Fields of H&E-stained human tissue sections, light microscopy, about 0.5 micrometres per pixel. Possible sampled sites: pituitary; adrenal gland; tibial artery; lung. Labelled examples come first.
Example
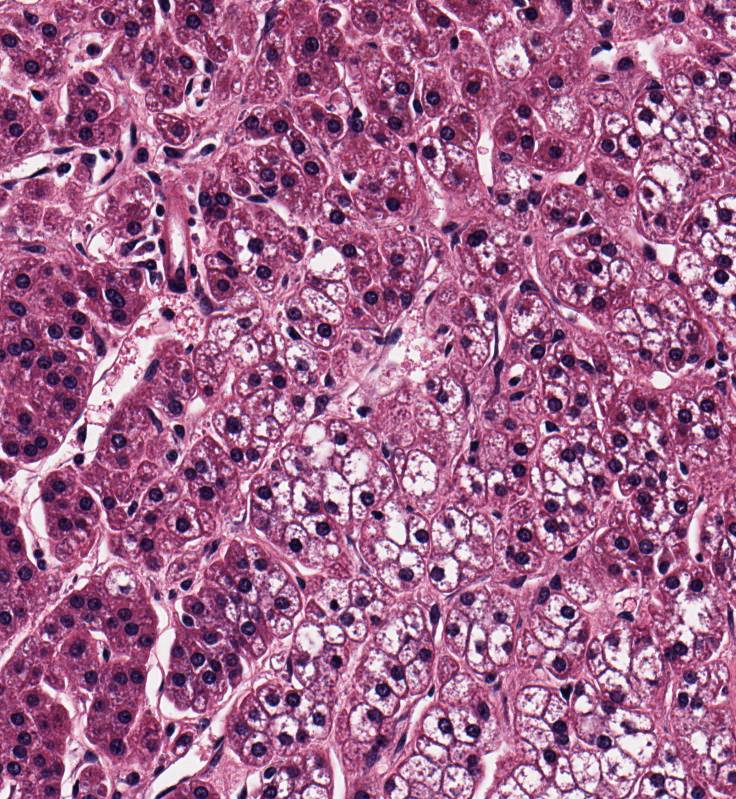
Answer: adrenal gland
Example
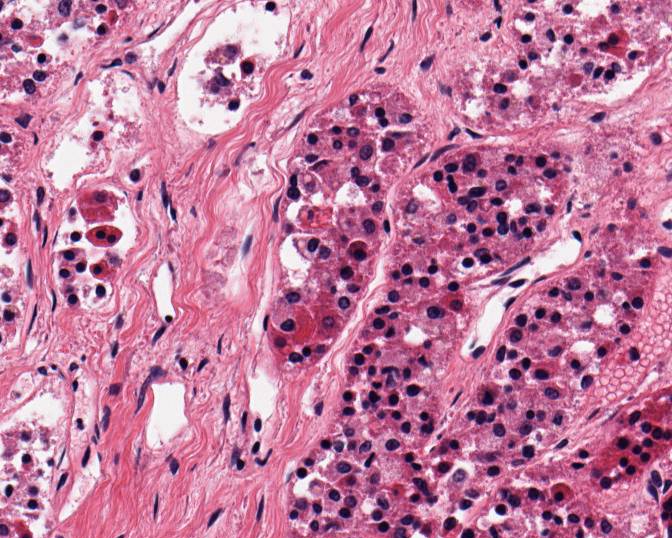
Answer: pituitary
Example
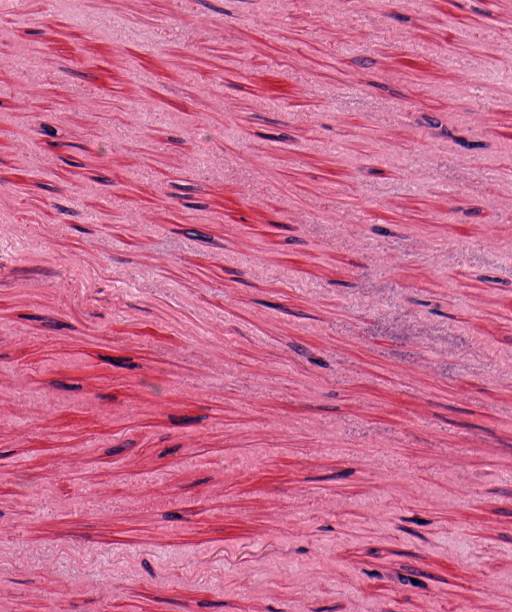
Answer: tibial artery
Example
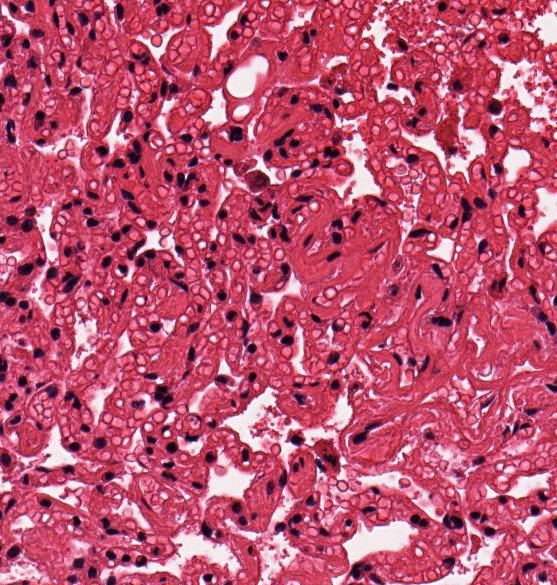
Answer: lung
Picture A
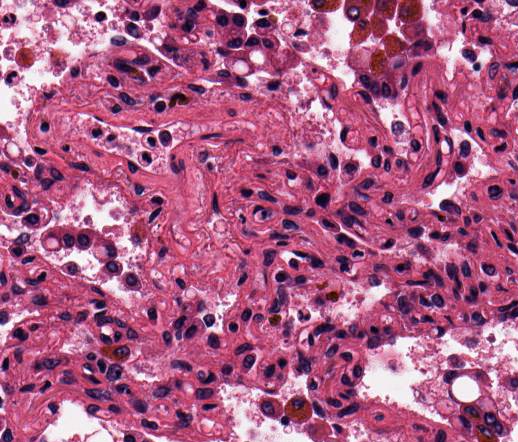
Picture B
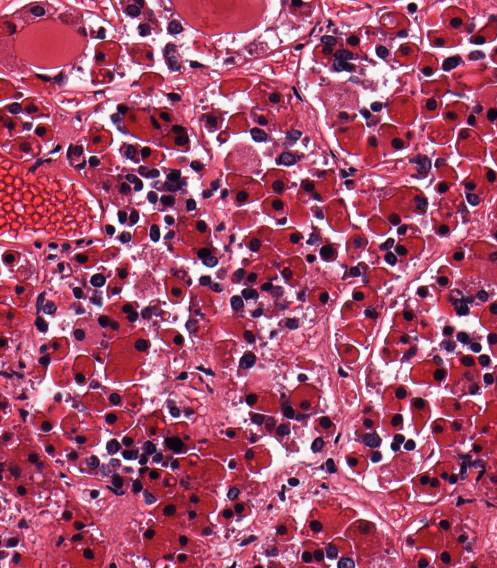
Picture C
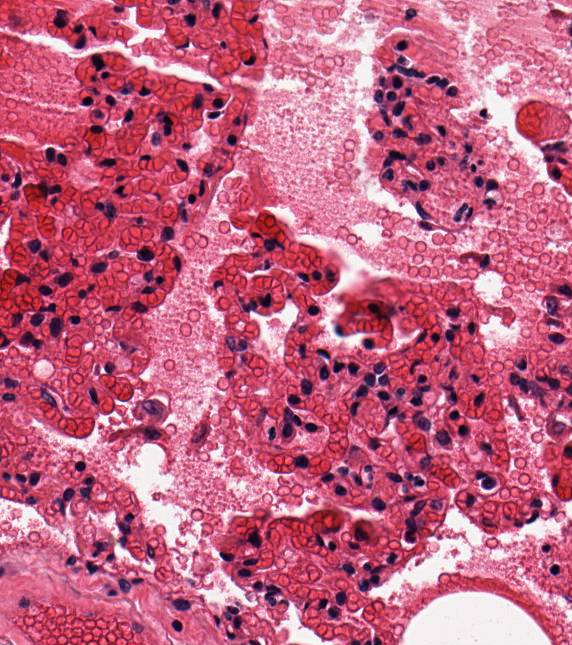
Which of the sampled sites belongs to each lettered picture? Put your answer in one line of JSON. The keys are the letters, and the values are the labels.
{"A": "lung", "B": "pituitary", "C": "lung"}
